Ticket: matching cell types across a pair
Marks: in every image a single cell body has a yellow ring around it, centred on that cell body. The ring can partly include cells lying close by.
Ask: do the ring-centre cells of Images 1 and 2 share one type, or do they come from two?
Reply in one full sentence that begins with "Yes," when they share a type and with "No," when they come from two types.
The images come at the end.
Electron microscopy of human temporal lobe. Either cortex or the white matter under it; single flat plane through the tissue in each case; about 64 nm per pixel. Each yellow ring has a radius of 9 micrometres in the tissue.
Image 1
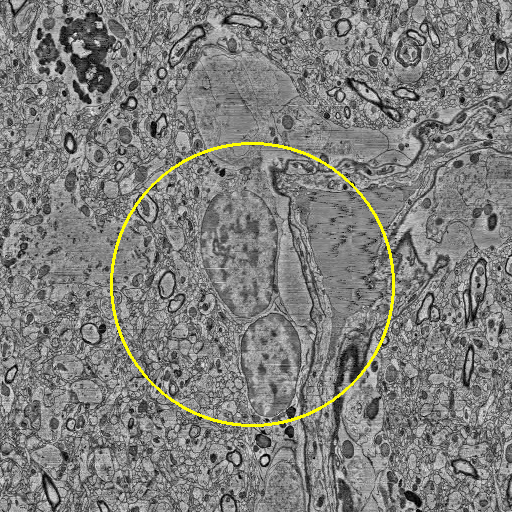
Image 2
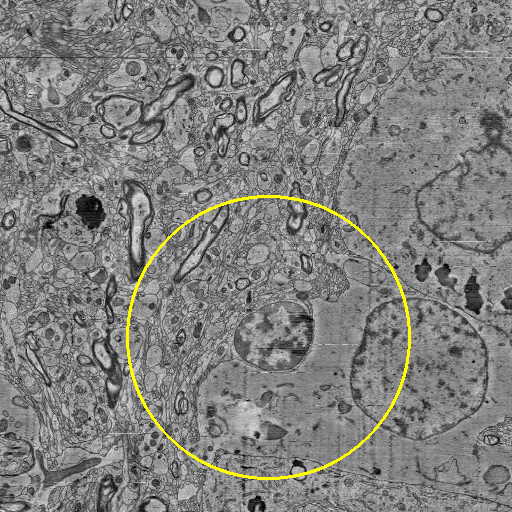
No, the cells in the centres of the rings in Image 1 and Image 2 come from two types.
